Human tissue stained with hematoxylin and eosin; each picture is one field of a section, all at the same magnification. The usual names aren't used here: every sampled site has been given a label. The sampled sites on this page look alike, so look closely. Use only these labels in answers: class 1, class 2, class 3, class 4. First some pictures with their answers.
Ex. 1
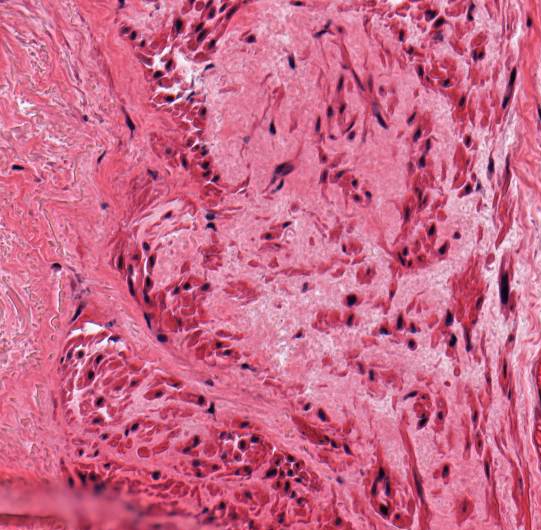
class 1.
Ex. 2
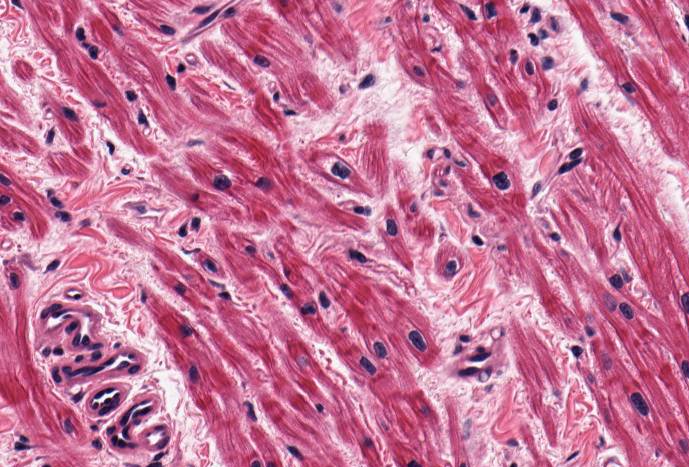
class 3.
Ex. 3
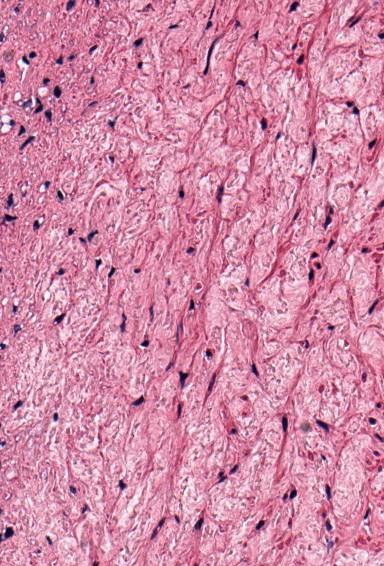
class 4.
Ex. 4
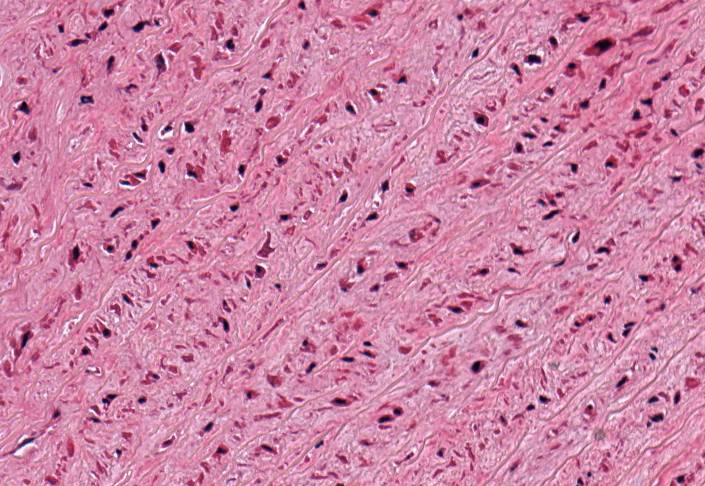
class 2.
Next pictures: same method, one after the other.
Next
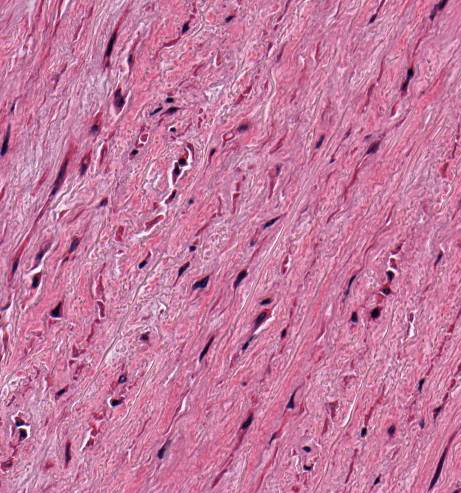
class 2.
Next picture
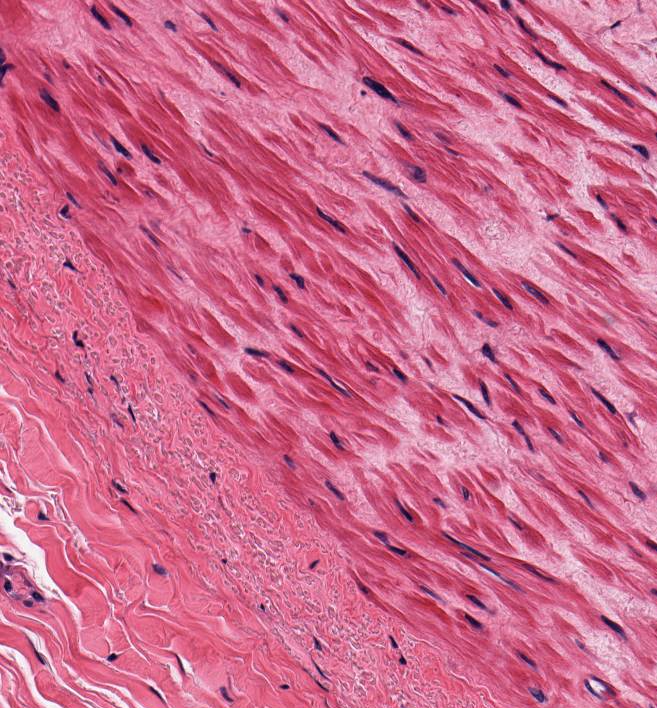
class 1.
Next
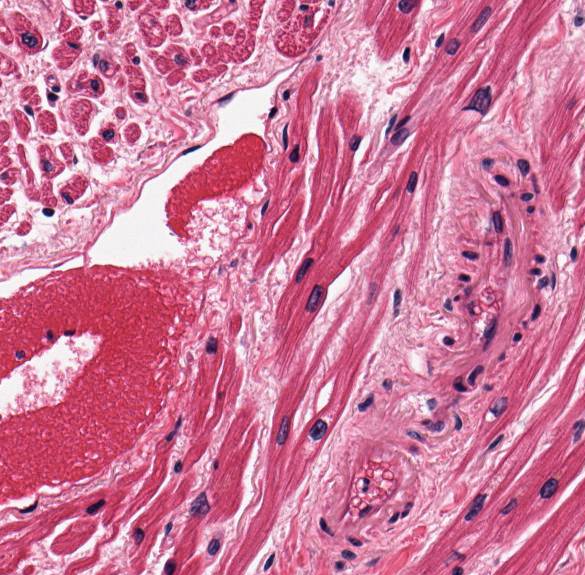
class 3.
